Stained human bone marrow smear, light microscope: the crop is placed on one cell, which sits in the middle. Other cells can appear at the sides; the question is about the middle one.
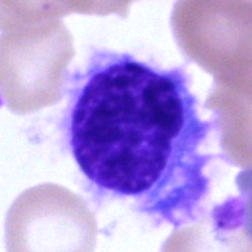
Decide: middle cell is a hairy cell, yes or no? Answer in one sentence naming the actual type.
Yes, the cell that lies centrally is a hairy cell.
